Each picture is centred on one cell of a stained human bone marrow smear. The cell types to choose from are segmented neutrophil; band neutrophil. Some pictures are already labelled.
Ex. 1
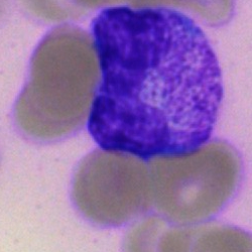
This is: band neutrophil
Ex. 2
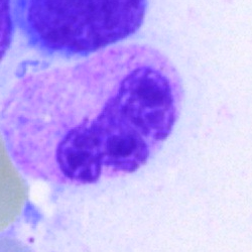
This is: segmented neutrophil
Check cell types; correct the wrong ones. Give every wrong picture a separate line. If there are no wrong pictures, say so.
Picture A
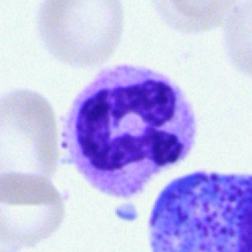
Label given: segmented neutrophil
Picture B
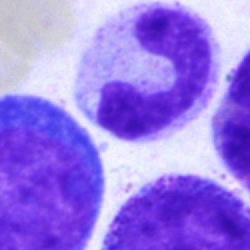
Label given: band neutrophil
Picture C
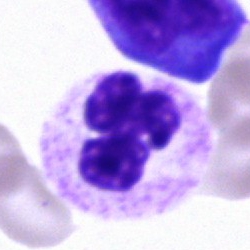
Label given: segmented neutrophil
All labels are correct.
